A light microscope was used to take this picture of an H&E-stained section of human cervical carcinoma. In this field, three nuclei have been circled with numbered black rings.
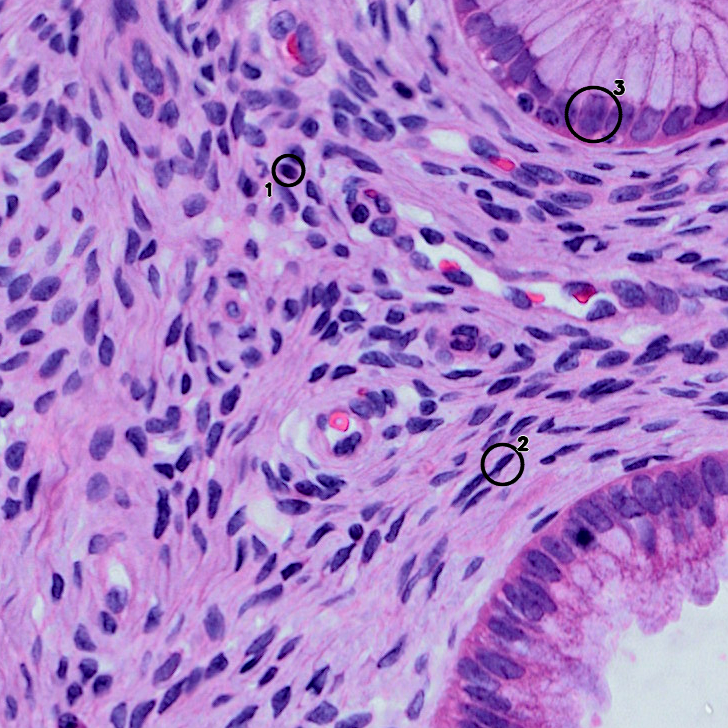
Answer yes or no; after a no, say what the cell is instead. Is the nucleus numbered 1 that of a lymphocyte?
Yes.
